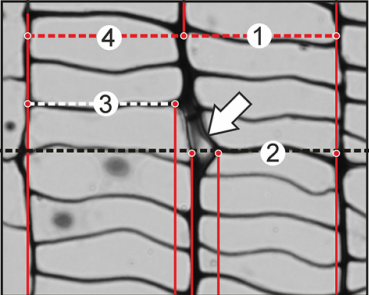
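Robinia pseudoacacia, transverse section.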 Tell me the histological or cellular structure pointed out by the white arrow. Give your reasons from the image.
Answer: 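Slant. The arrow points to an oblique wall region between two adjacent cell files. There the walls run diagonally rather than straight along the file.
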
